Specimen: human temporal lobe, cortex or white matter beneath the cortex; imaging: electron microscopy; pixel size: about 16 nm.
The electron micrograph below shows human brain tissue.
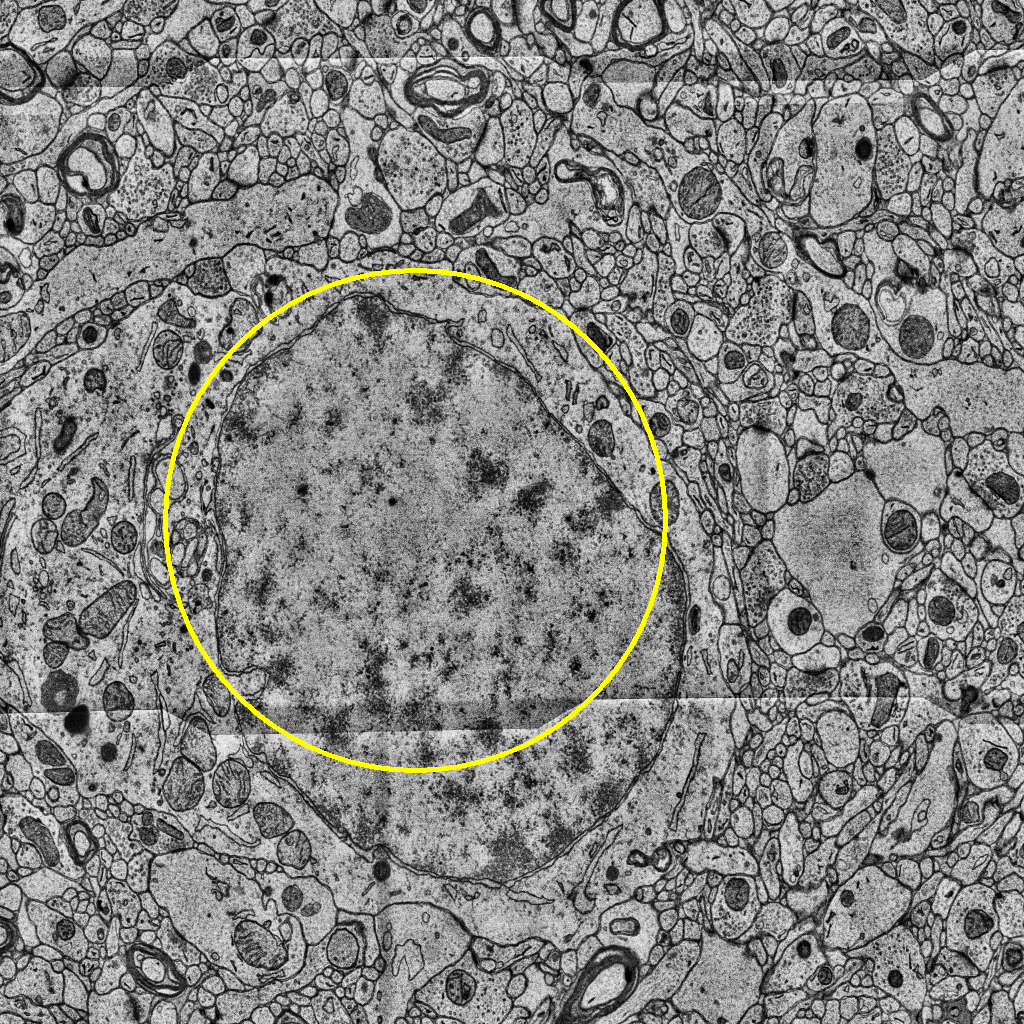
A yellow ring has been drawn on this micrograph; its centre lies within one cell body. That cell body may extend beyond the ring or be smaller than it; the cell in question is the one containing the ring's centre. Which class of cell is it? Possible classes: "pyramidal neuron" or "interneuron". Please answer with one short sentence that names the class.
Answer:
In the centre of the ring sits an interneuron.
